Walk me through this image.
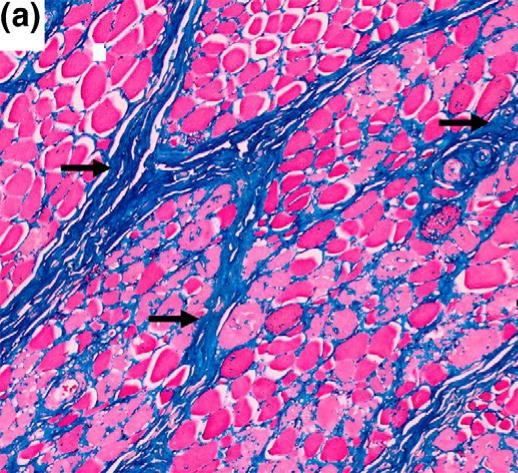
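The fibres vary widely in size, with many small rounded profiles lying beside larger ones. Broad, streaming bands of blue fibrous tissue run diagonally across the field and spread between individual fibres, widening the spaces around them. Some small vessels are caught within the blue bands. The overall picture is of muscle fibres separated and partly replaced by fibrous tissue.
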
